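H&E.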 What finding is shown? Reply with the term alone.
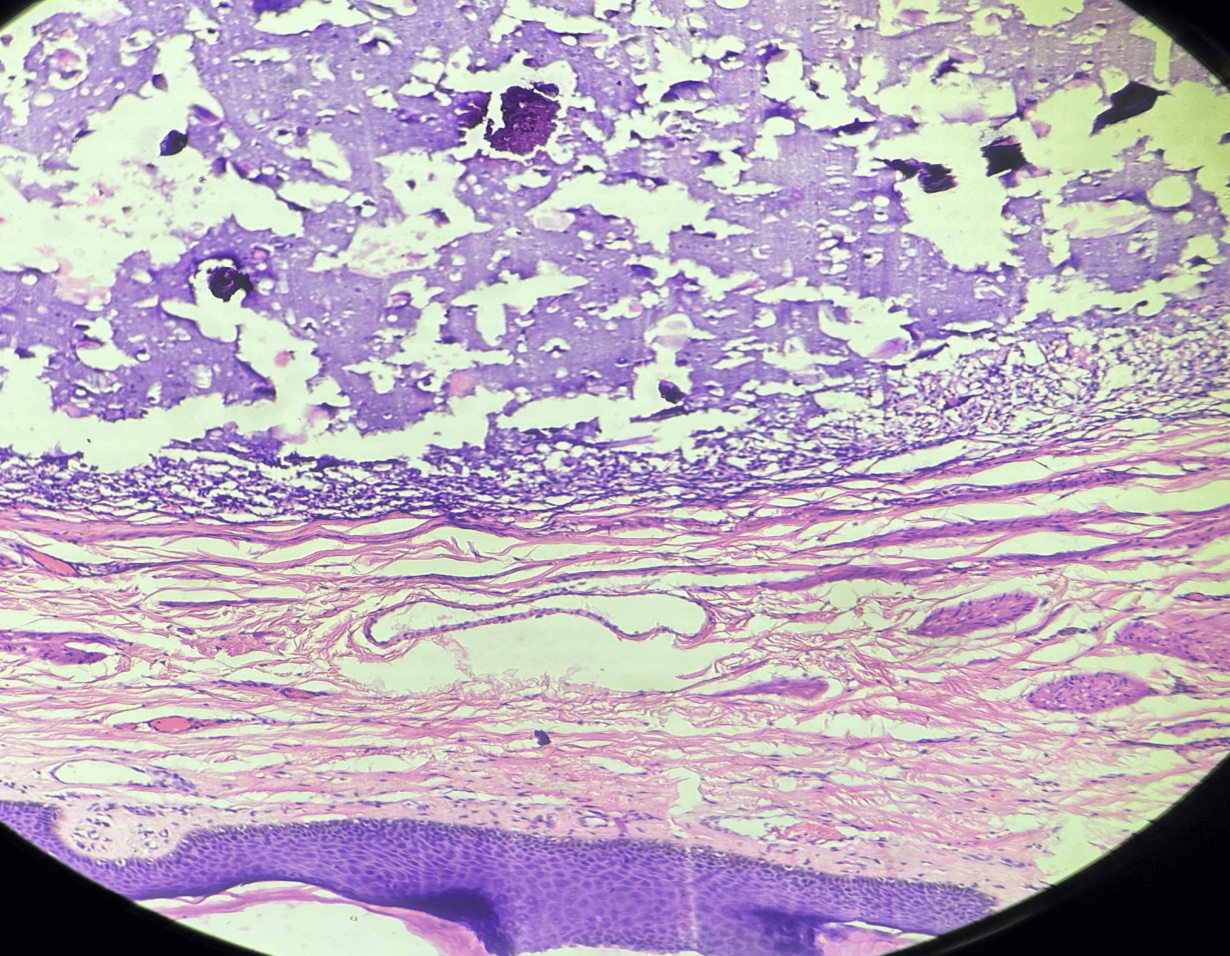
Basophilic calcium deposits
